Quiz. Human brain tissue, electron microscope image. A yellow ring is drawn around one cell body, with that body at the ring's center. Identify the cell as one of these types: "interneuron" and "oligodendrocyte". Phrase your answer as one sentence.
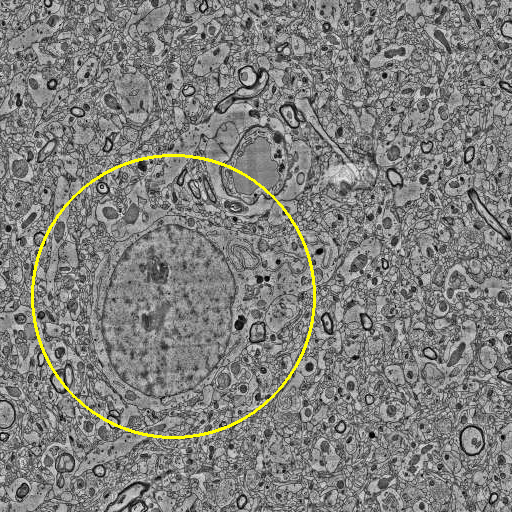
At the center of the ring sits an interneuron.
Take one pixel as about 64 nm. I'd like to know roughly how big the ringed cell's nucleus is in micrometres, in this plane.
In this plane, about 11 micrometres in length and 8 in width.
